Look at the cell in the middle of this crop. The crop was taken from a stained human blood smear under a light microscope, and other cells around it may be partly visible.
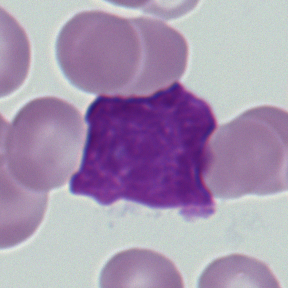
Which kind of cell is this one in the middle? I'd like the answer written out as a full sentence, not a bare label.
The central element of this crop is a cell, namely a smudge cell.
